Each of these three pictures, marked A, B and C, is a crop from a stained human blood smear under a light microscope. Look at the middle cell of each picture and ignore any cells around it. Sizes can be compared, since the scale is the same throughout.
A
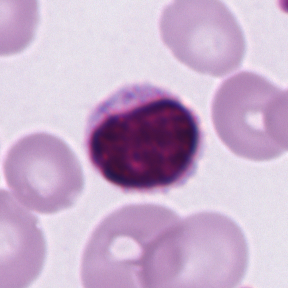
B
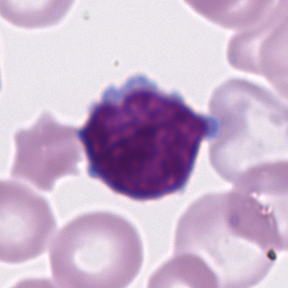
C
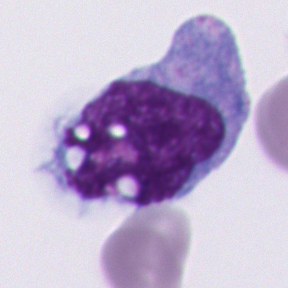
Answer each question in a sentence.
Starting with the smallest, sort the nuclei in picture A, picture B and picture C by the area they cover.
Going up, they run A, B, C.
